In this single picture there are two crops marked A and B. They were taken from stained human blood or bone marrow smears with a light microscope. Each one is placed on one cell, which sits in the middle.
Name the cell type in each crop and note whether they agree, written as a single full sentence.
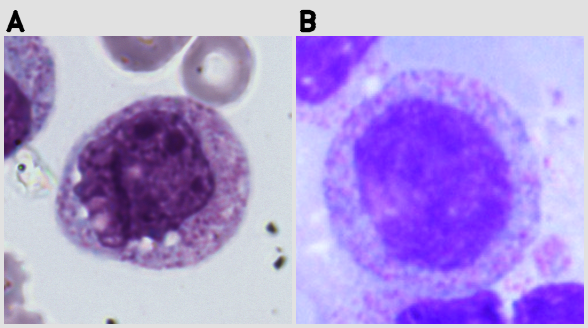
Yes, for both crops, the central cells are myelocytes.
